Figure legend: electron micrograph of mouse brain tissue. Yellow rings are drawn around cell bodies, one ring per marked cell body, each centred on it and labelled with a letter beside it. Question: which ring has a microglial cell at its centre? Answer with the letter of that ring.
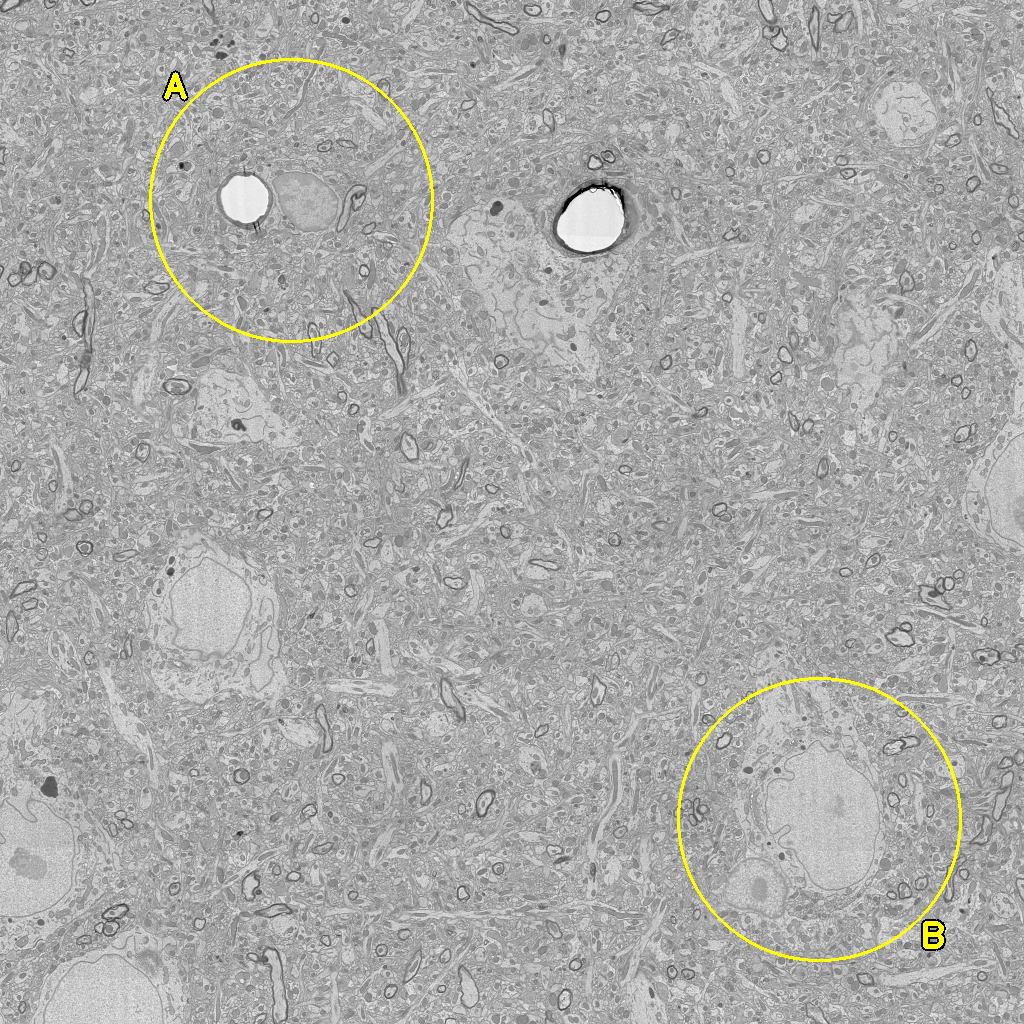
A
